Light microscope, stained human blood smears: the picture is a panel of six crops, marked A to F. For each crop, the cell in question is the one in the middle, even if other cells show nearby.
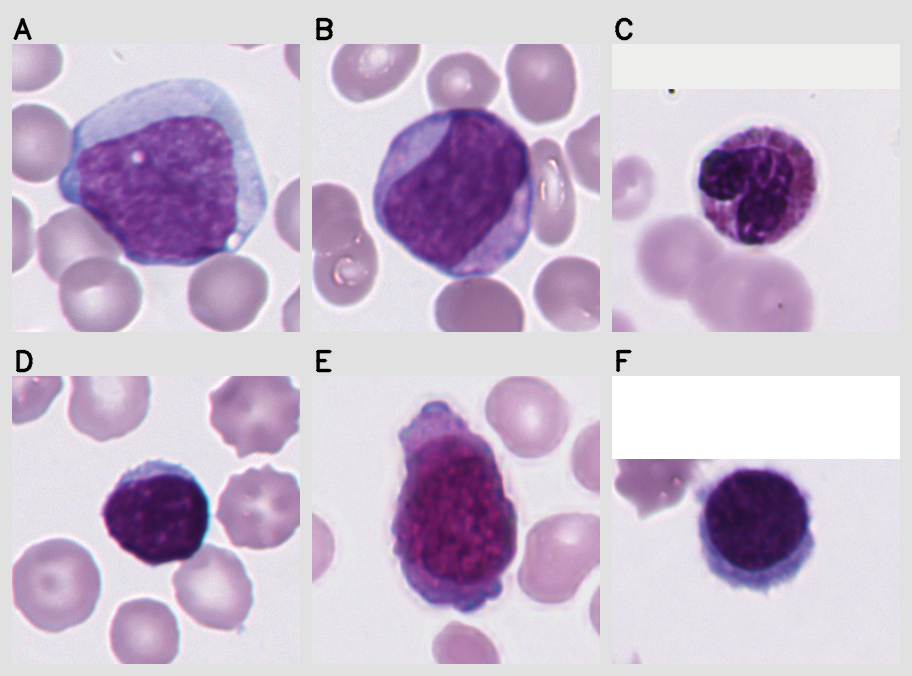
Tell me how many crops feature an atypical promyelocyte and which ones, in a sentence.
Classed as atypical promyelocytes are the central cells of two crops, B and E.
